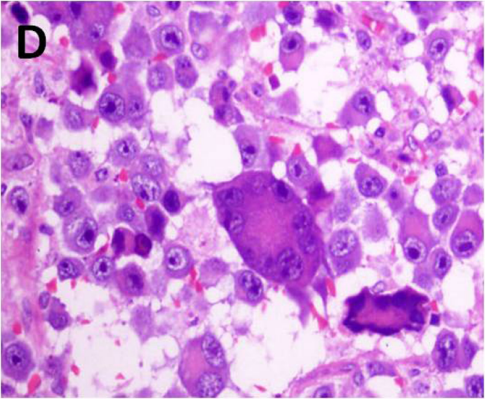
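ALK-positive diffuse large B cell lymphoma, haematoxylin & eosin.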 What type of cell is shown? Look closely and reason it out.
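A very large cell in the centre with abundant pink-purple cytoplasm. Several nuclei lie within this single large cell. It is surrounded by smaller atypical cells with large nuclei. On this evidence: Multinucleated giant neoplastic cells.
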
